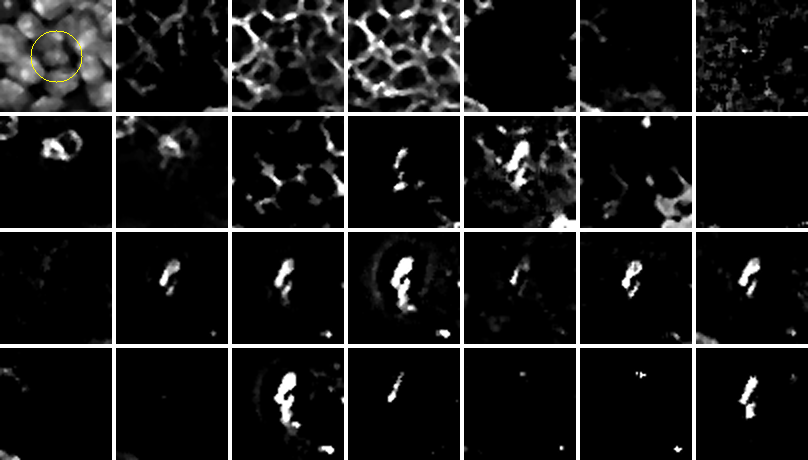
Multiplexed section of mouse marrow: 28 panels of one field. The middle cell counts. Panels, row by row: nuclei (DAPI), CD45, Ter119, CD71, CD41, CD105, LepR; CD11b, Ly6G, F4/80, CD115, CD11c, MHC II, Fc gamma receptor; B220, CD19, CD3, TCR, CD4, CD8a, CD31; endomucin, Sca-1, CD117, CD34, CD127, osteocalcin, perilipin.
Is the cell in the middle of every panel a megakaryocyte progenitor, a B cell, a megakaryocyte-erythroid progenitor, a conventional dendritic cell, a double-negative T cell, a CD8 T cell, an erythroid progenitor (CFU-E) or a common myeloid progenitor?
It is an erythroid progenitor (CFU-E).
